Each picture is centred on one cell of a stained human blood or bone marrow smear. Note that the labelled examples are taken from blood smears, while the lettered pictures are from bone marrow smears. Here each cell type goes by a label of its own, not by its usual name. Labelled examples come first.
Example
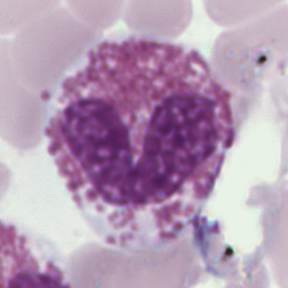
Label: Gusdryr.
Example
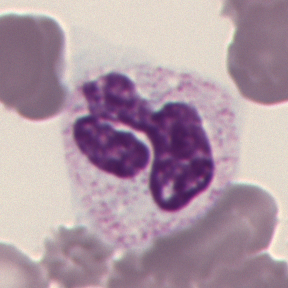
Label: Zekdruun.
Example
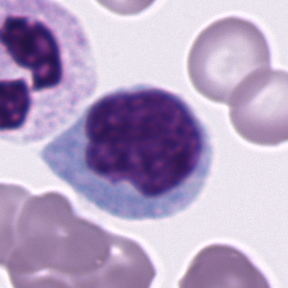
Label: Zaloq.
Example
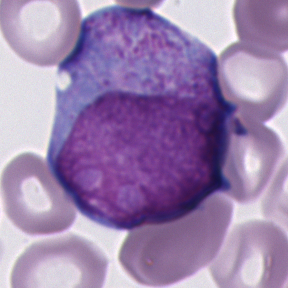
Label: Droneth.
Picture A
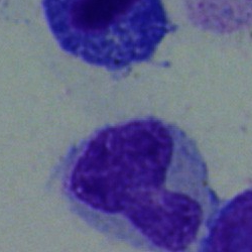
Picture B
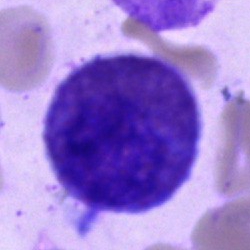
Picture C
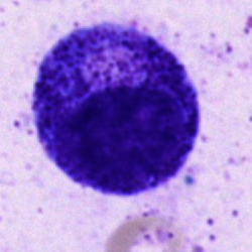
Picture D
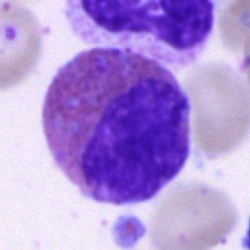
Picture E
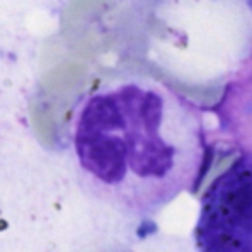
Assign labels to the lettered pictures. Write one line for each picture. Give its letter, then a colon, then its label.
A: Zaloq.
B: Gusdryr.
C: Droneth.
D: Gusdryr.
E: Zekdruun.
